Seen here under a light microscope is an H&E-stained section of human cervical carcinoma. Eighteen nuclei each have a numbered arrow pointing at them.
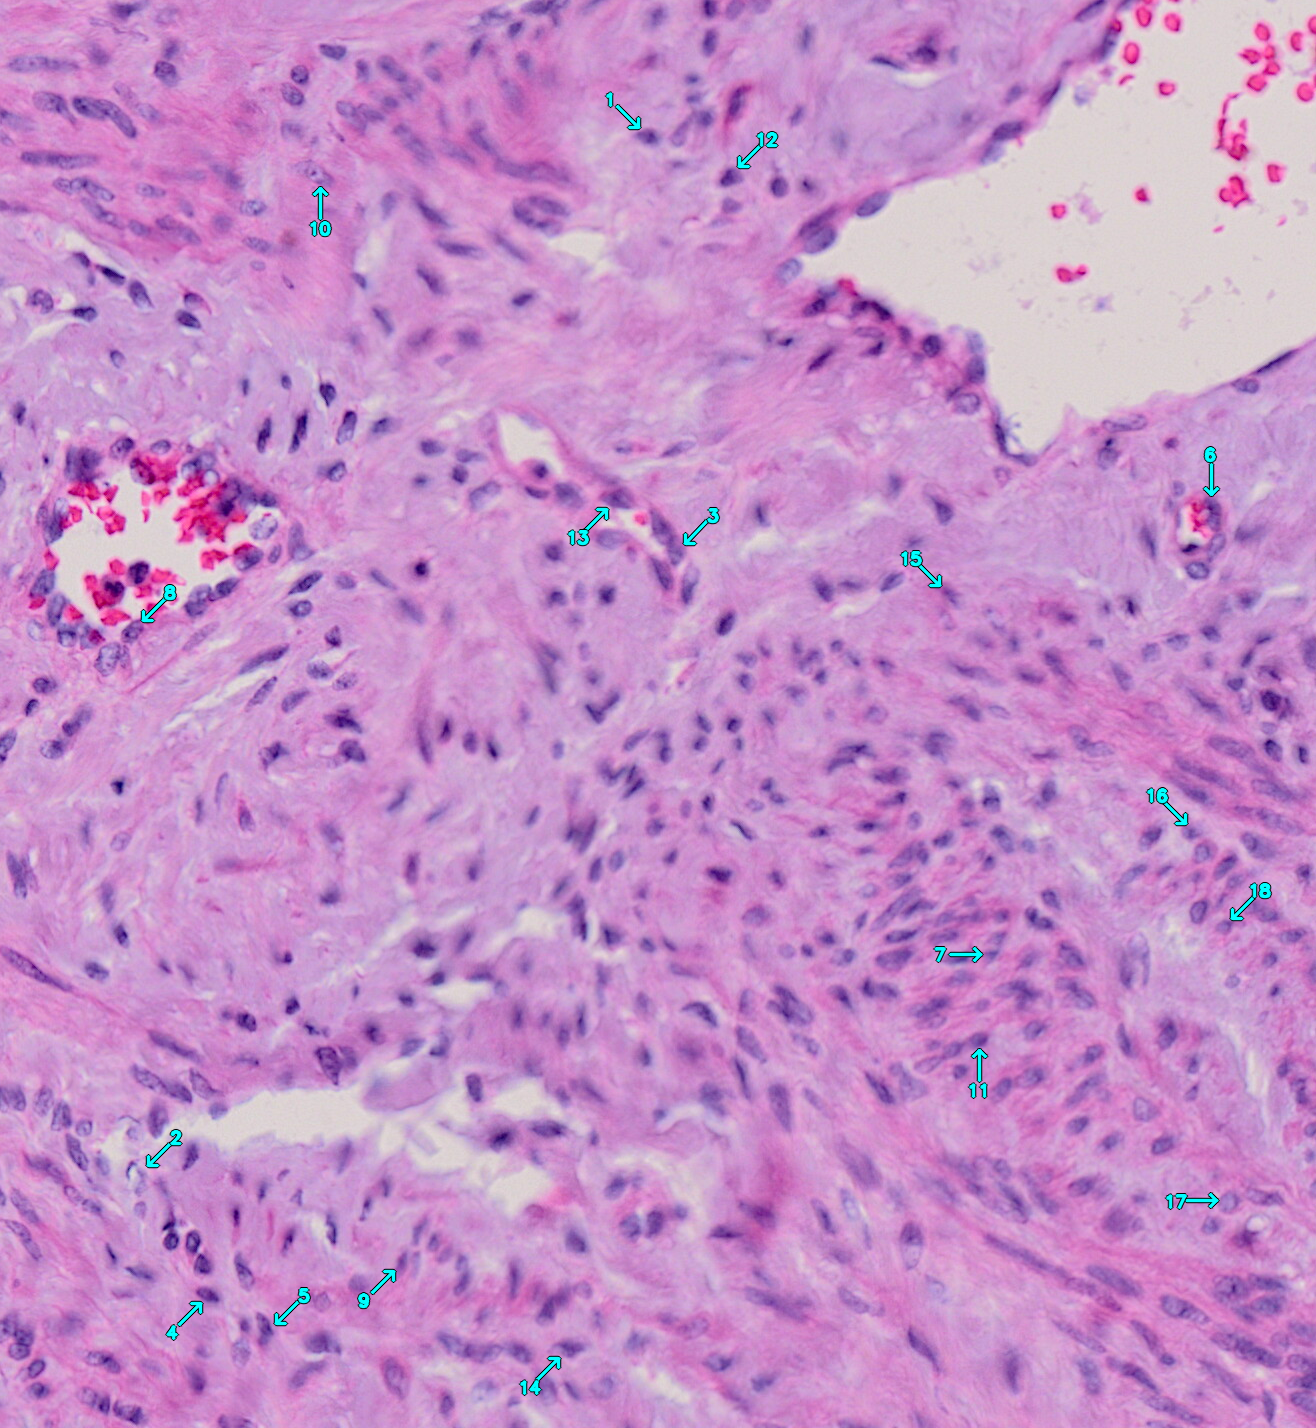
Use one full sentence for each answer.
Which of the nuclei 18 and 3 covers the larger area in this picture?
It is nucleus 3, which covers about 2.5 times the area of nucleus 18.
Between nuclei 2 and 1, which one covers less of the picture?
It is nucleus 1; nucleus 2 has about 1.5 times its area.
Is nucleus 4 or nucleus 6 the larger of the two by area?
It is nucleus 4, which covers about 1.5 times the area of nucleus 6.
